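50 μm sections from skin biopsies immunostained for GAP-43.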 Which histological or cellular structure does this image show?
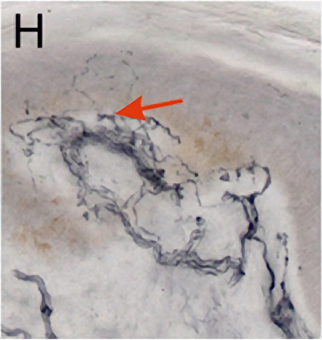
Focal accumulations of nerve fibers.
